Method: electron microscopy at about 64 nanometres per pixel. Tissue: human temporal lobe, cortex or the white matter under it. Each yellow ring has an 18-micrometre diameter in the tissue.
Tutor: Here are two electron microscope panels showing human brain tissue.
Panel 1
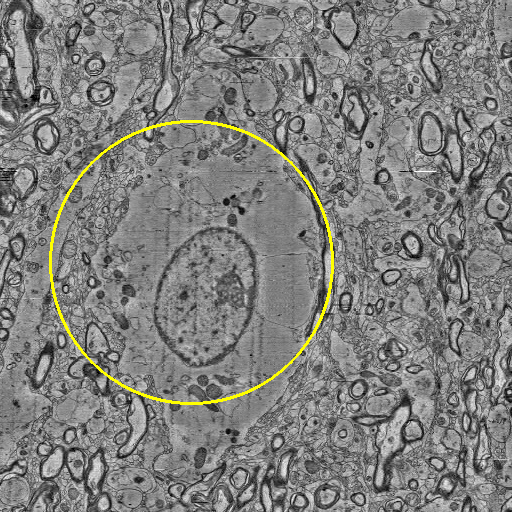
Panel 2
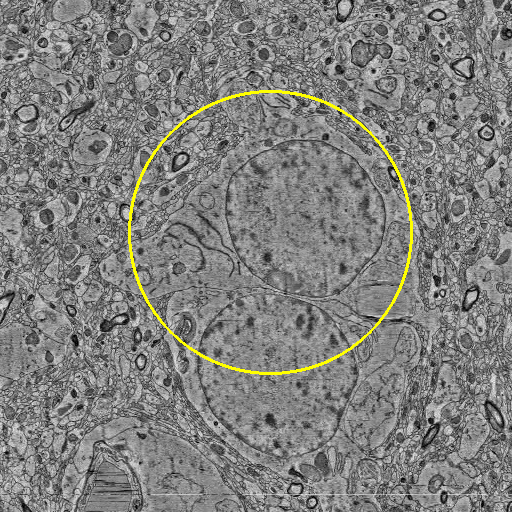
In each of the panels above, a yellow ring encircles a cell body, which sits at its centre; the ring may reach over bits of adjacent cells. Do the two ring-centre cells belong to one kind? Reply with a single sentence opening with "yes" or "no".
Yes, the two cells sitting at the ring centres in the panels belong to one kind.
